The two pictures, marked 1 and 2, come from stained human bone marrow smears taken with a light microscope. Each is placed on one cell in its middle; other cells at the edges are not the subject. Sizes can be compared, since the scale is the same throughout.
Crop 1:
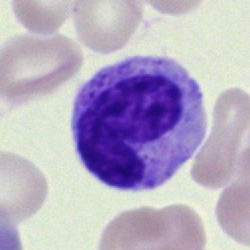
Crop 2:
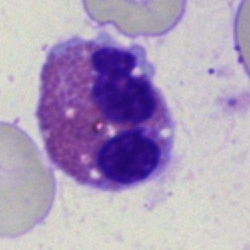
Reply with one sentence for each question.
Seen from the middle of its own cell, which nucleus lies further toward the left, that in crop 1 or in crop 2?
Seen within its cell, the nucleus in crop 1 lies further toward the left.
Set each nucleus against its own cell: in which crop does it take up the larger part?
In crop 1 the nucleus takes up the larger part of its cell.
